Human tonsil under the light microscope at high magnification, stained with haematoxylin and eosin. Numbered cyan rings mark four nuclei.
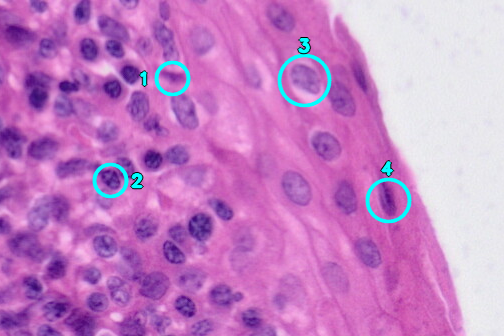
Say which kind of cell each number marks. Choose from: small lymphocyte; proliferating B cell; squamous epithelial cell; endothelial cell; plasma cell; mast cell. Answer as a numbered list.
1. squamous epithelial cell
2. plasma cell
3. squamous epithelial cell
4. squamous epithelial cell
